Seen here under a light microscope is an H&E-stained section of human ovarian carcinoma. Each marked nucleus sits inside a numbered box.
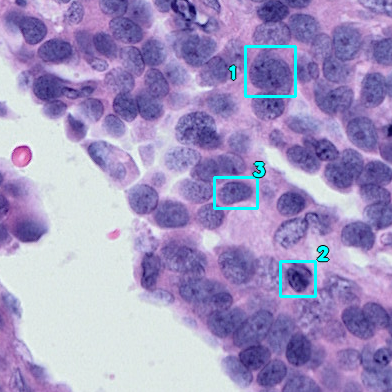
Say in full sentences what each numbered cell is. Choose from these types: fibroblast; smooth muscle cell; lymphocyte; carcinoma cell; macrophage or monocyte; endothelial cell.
Cell 1 is a carcinoma cell, cell 2 is a lymphocyte and cell 3 is a carcinoma cell.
